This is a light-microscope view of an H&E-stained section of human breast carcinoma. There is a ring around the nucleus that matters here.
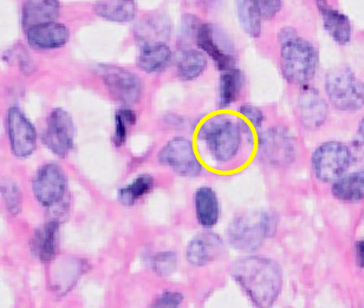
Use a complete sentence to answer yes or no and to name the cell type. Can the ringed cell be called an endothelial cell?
No, the ringed cell is not to be called an endothelial cell; it is a carcinoma cell.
